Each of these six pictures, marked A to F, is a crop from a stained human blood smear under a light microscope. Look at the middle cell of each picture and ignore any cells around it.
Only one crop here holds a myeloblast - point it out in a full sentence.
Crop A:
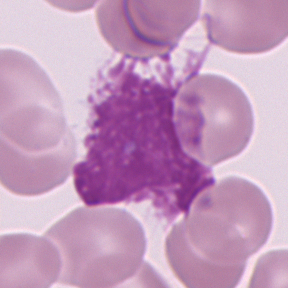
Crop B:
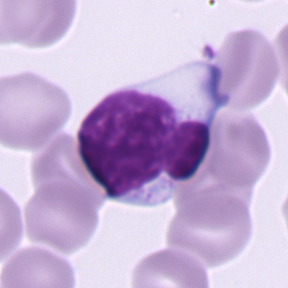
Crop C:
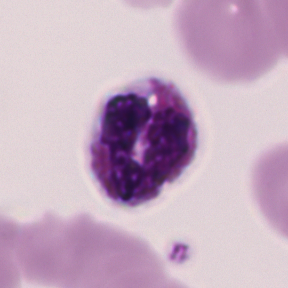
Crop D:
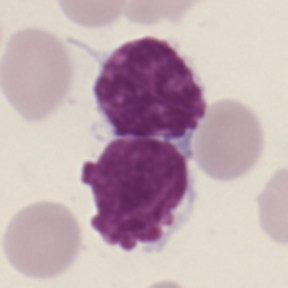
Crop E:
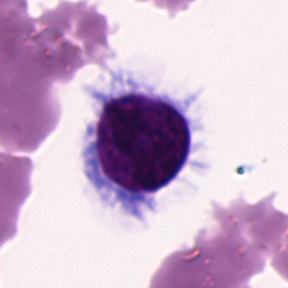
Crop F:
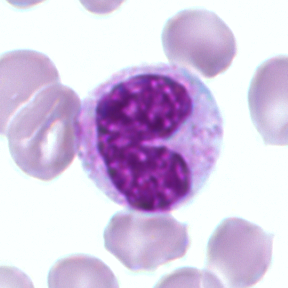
The correct choice is crop D, the one showing a myeloblast.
